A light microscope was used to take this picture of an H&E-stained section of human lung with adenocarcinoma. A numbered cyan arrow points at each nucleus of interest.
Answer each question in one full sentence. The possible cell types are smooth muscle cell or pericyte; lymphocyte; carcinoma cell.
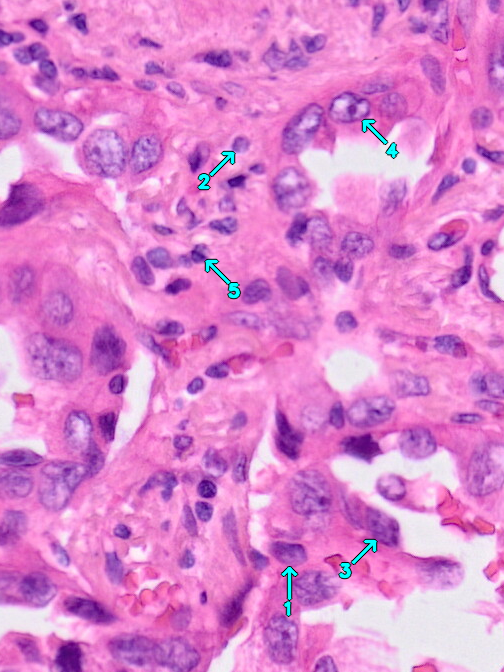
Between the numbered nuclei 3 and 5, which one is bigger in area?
Number 3 is larger; its area is about 4 times that of number 5.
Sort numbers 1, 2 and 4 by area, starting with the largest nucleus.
The nuclei rank 4, 1, 2, from largest to smallest.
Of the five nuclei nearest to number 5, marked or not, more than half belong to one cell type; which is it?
Most of the five nuclei nearest to number 5 are those of lymphocytes.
